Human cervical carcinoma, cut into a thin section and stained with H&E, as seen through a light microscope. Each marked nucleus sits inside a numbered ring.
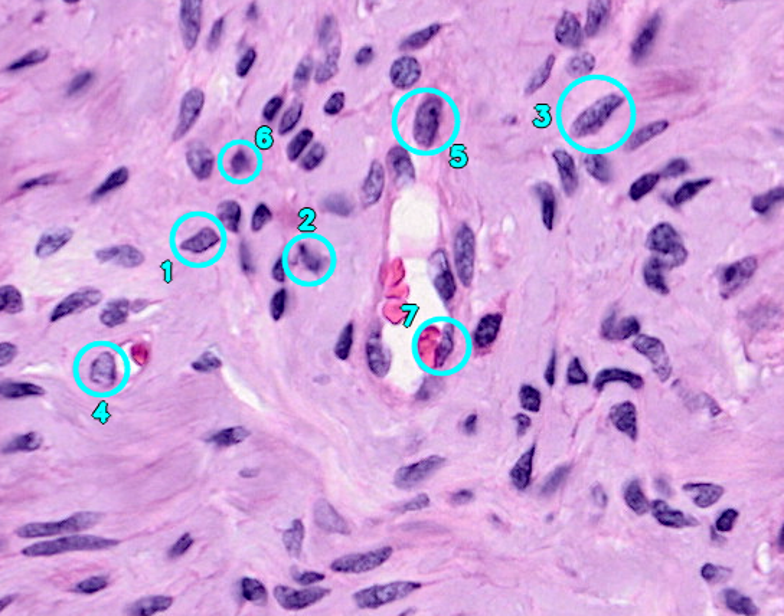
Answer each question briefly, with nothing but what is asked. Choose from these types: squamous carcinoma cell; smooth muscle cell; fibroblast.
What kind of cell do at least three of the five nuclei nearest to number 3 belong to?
fibroblast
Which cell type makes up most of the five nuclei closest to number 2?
fibroblast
